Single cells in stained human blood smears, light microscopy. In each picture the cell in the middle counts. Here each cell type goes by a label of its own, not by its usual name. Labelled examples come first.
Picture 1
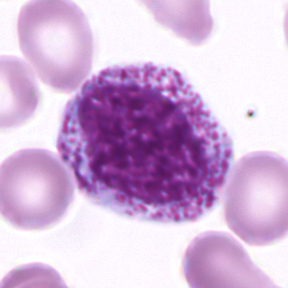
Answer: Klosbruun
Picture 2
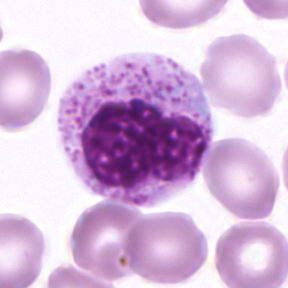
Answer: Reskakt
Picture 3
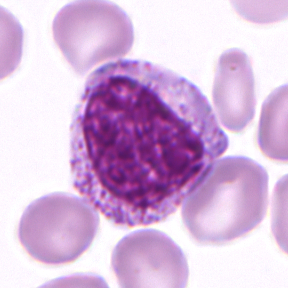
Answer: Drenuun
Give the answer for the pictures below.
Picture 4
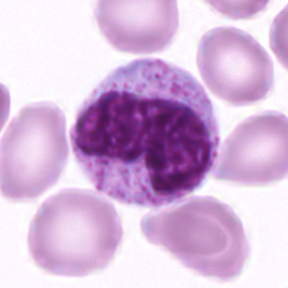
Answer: Reskakt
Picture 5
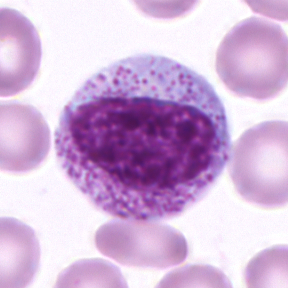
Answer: Drenuun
